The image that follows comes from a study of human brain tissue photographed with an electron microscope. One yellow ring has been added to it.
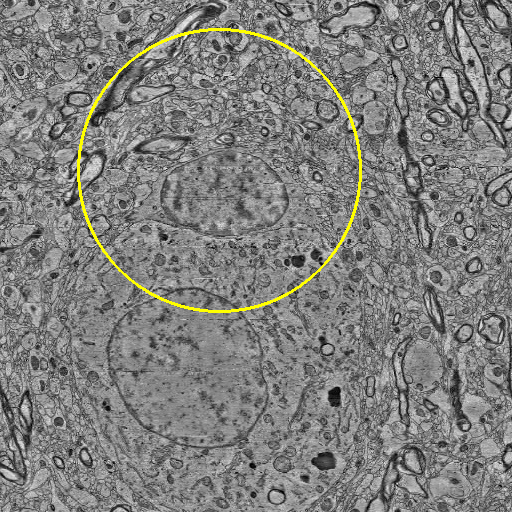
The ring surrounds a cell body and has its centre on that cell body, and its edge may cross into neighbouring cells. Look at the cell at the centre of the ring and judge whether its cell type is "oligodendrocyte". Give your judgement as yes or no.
yes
